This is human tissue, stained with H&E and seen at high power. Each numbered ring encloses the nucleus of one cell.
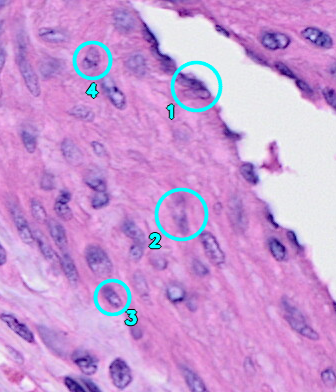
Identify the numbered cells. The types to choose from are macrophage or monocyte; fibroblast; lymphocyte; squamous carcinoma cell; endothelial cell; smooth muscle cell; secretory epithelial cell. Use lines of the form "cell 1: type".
cell 1: endothelial cell
cell 2: smooth muscle cell
cell 3: smooth muscle cell
cell 4: smooth muscle cell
